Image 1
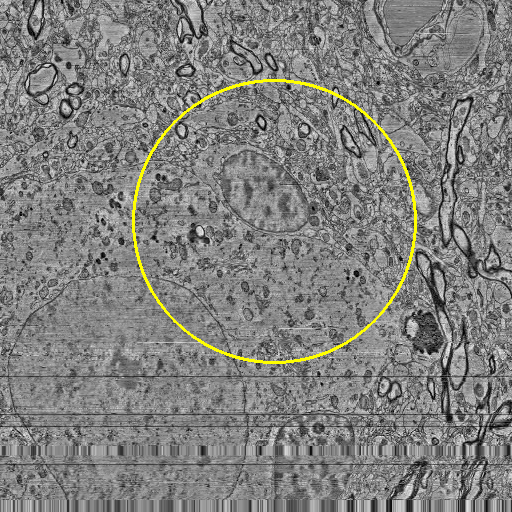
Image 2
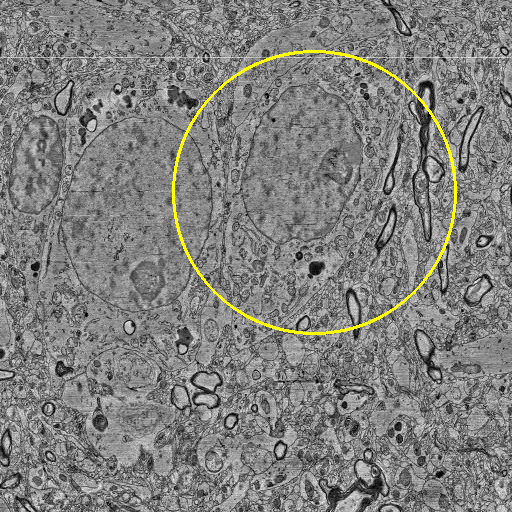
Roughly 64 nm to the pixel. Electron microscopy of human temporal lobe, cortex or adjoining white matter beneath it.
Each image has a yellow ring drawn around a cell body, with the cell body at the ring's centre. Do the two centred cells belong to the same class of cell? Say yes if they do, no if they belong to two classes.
no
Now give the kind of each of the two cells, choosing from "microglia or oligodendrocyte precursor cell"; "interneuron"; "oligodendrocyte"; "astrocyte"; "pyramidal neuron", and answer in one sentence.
The cell in the first picture is an oligodendrocyte, and the cell in the second is an interneuron.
